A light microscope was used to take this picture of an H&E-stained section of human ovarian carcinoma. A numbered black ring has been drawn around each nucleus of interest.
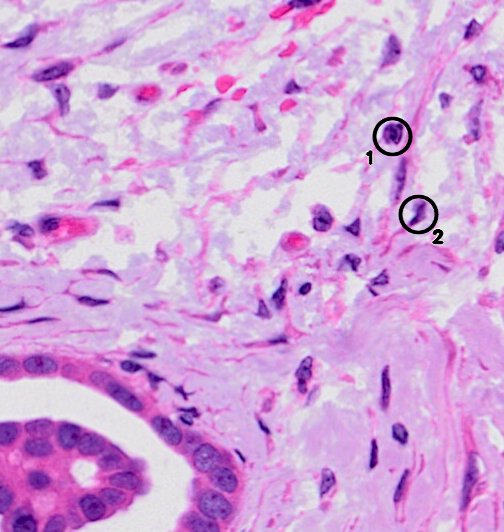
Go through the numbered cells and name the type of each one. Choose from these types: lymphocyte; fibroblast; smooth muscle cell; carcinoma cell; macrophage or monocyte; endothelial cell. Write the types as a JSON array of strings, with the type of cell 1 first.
["lymphocyte", "fibroblast"]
